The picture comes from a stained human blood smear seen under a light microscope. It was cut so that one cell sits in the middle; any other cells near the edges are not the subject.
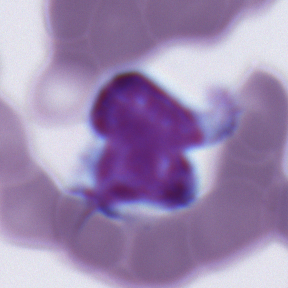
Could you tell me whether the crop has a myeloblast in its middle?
no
